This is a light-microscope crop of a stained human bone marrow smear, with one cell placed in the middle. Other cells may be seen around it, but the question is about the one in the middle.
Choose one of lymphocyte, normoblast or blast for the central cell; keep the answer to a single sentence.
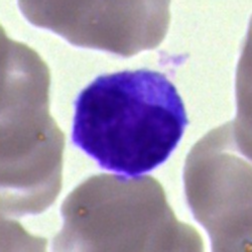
Standing at the centre of this crop is a lymphocyte.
